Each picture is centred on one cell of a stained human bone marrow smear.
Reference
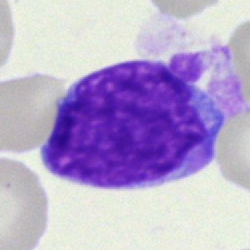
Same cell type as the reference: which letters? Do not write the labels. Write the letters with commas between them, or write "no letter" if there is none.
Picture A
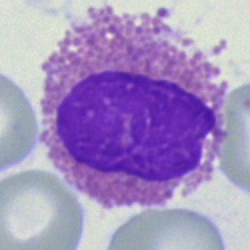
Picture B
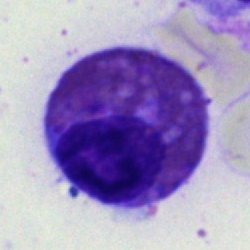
no letter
